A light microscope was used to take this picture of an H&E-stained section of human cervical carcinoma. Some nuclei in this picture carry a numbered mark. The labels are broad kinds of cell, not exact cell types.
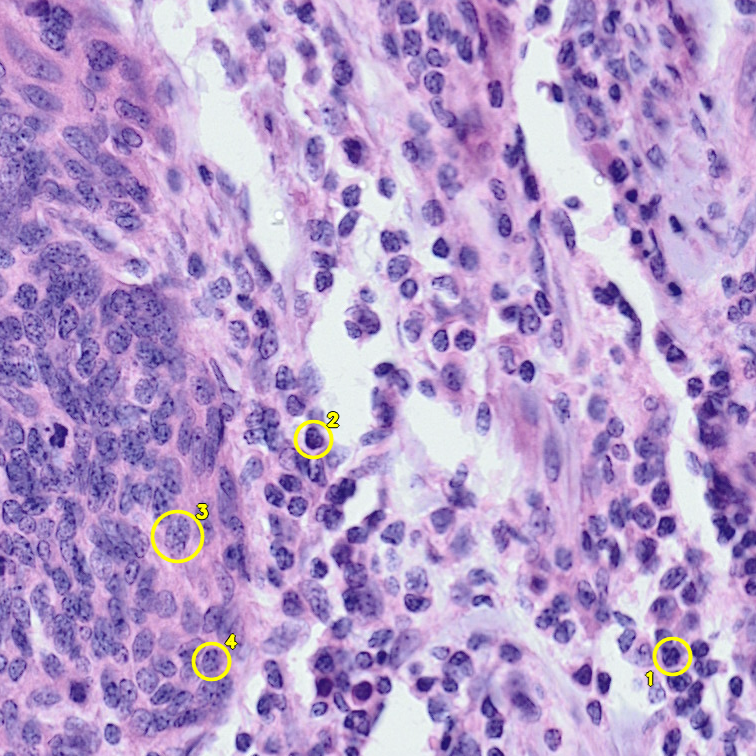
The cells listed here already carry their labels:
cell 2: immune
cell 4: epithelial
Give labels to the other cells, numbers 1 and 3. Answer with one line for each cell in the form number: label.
1: immune
3: epithelial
